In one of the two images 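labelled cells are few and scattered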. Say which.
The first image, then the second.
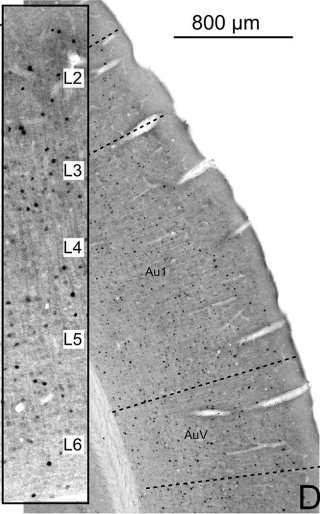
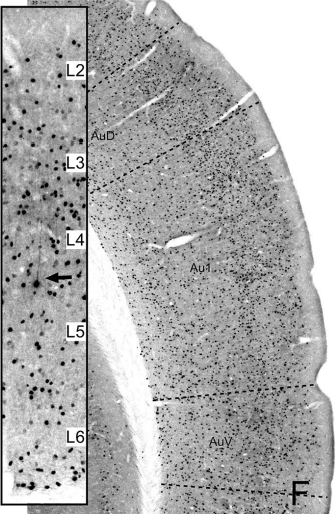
The first image.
